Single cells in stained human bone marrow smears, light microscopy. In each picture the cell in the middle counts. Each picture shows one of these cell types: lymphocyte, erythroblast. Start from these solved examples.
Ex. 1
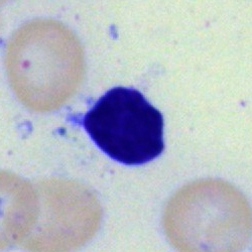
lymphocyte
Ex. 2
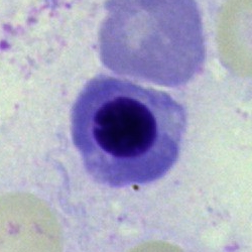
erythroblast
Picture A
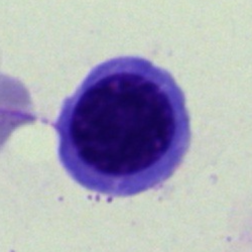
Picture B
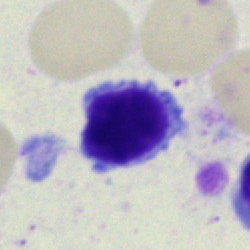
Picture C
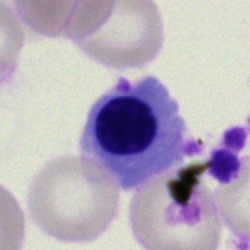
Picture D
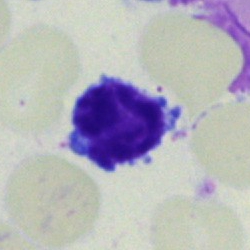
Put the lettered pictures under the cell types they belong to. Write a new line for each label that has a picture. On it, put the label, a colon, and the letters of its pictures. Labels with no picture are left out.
lymphocyte: B, D
erythroblast: A, C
